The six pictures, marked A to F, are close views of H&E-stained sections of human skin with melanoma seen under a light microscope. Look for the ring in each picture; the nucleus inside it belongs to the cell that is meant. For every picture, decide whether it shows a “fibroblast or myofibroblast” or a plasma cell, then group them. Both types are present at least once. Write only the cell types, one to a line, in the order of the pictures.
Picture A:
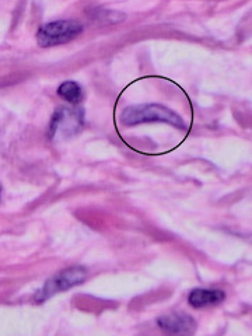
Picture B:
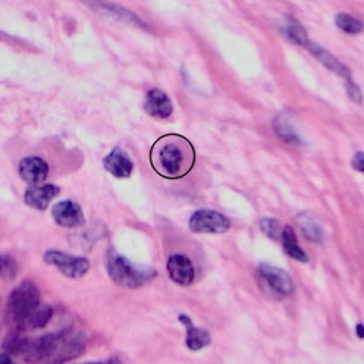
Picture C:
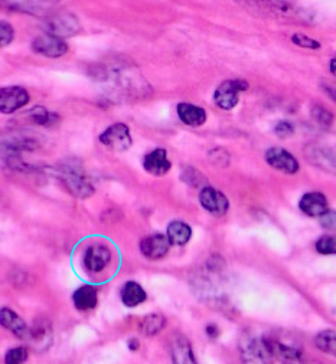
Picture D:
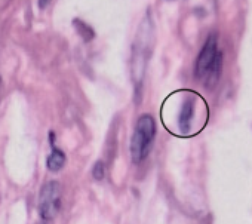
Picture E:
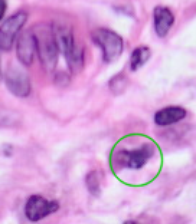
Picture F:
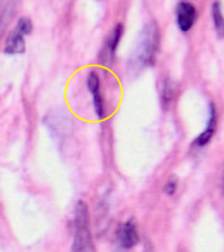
fibroblast or myofibroblast
plasma cell
plasma cell
fibroblast or myofibroblast
plasma cell
fibroblast or myofibroblast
